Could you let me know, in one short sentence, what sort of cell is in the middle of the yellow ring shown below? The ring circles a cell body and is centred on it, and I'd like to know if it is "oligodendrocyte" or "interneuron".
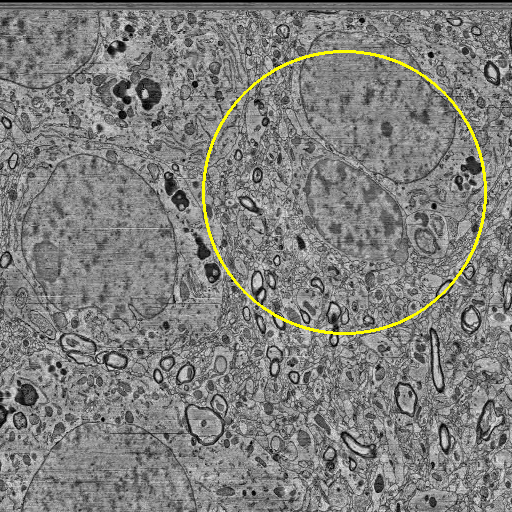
The ring circles the cell body of an oligodendrocyte.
